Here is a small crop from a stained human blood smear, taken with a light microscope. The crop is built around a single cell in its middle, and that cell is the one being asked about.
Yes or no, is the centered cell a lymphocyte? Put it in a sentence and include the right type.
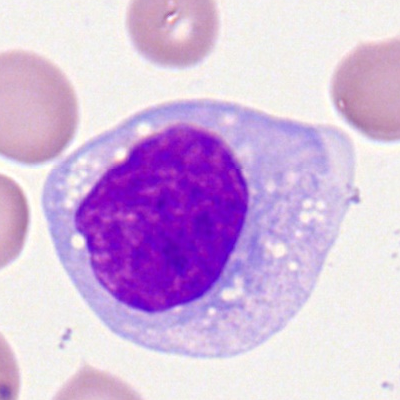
No, it is a monocyte rather than a lymphocyte that the middle of the crop contains.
